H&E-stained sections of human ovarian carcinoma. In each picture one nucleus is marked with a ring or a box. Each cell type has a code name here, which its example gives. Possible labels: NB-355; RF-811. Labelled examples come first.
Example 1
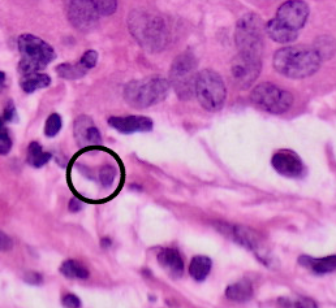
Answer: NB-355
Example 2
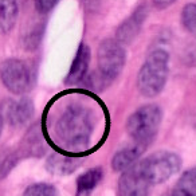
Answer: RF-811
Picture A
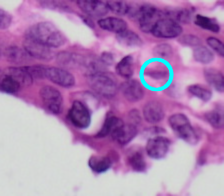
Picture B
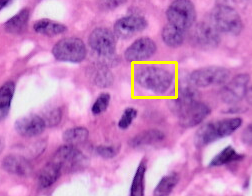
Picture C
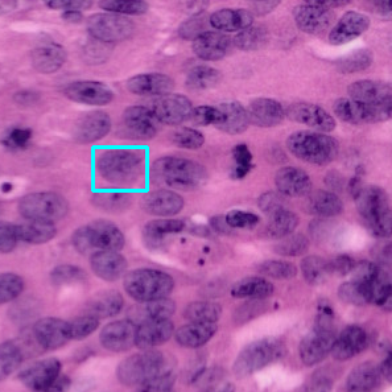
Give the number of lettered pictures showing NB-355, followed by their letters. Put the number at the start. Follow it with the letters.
0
